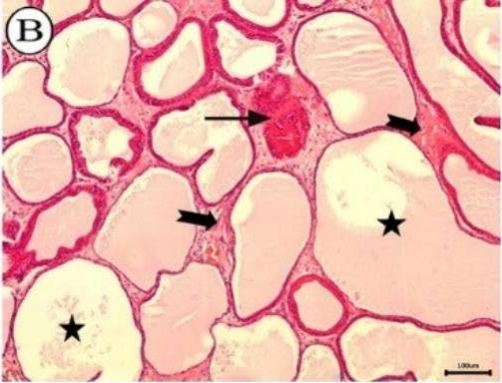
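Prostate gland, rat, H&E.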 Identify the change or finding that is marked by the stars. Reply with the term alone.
ectatic acini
